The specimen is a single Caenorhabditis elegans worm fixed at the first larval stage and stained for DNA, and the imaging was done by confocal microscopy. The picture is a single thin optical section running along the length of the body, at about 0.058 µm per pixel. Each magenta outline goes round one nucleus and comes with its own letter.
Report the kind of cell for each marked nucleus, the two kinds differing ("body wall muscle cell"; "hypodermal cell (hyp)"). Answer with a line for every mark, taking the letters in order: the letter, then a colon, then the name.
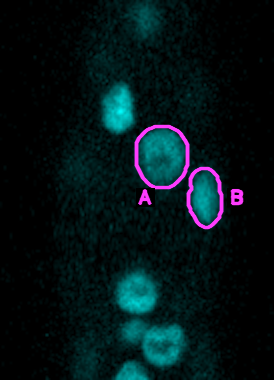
A: hypodermal cell (hyp)
B: body wall muscle cell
